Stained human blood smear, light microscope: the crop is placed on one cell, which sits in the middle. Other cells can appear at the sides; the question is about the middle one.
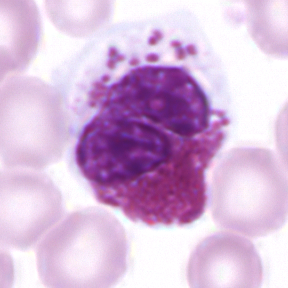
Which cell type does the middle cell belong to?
eosinophil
